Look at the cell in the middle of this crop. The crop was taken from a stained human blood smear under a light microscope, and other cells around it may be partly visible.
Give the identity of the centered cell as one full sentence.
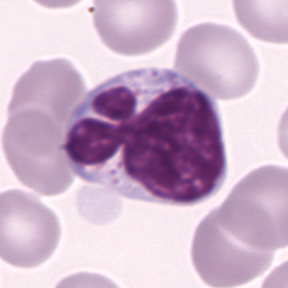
Regarding the central cell, it is a large granular lymphocyte.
